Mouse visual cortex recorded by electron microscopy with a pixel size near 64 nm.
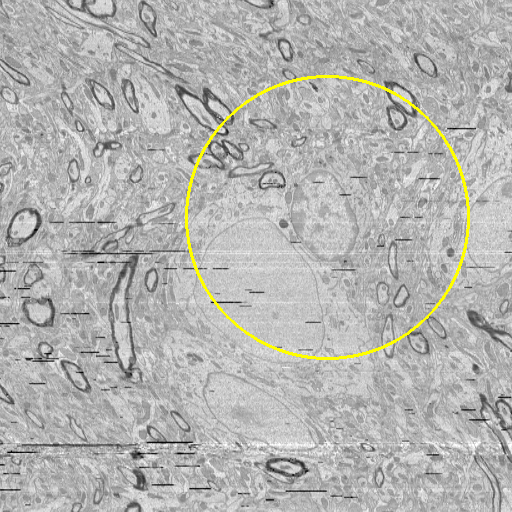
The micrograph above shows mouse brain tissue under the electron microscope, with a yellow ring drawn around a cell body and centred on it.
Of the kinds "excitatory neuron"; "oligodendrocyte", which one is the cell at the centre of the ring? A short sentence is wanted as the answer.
The one at the centre of the ring is an oligodendrocyte.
